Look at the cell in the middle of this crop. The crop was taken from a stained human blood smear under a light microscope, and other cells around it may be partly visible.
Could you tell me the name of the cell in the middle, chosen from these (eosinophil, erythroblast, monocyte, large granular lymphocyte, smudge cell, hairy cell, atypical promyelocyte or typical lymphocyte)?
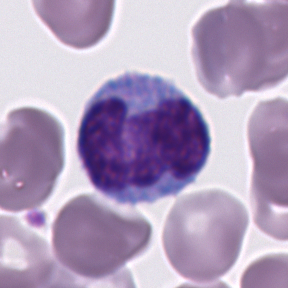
monocyte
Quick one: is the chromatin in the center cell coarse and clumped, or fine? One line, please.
What stands out is chromatin that is coarsely clumped.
